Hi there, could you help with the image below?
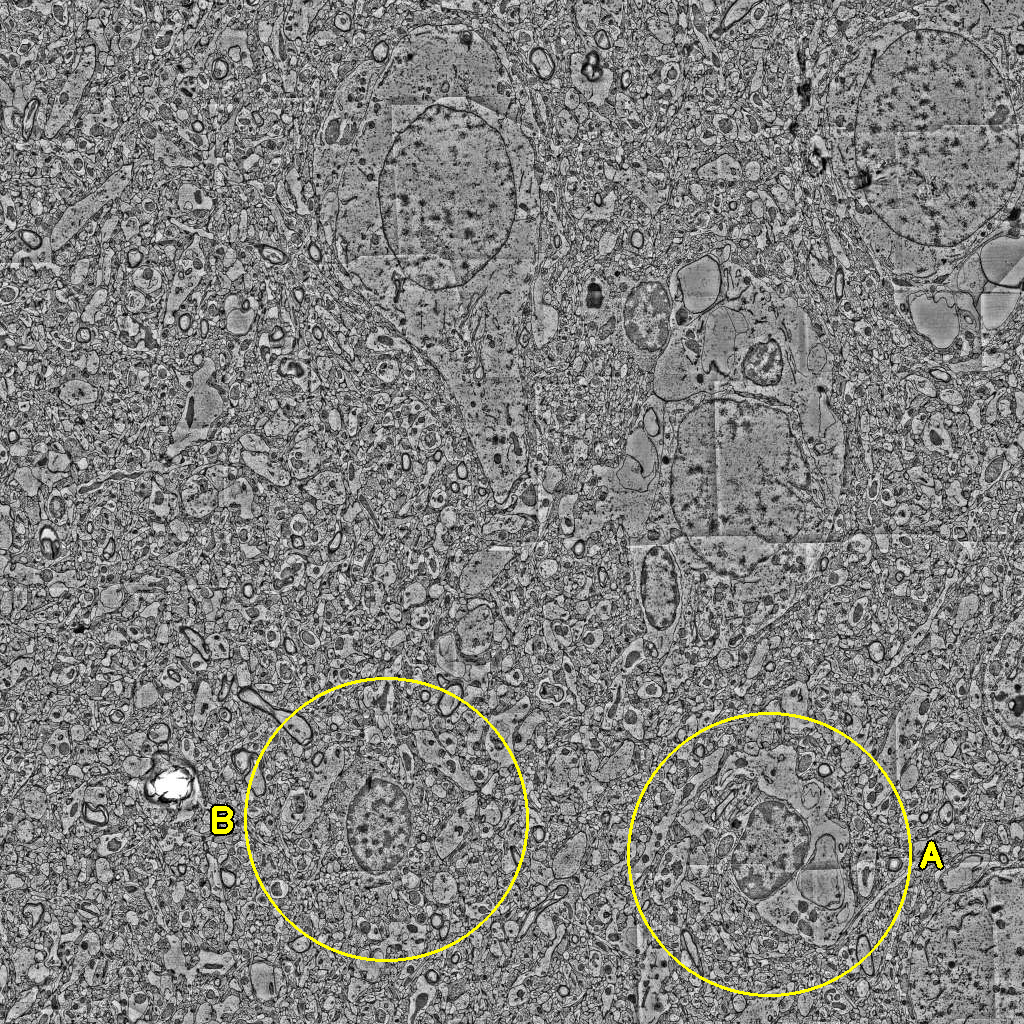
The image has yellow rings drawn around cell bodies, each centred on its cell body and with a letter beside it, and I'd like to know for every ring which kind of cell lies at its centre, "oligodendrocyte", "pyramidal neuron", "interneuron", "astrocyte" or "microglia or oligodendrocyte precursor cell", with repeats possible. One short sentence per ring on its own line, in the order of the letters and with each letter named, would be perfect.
Ring A is placed around a microglial cell or oligodendrocyte precursor cell.
Ring B is placed around an oligodendrocyte.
